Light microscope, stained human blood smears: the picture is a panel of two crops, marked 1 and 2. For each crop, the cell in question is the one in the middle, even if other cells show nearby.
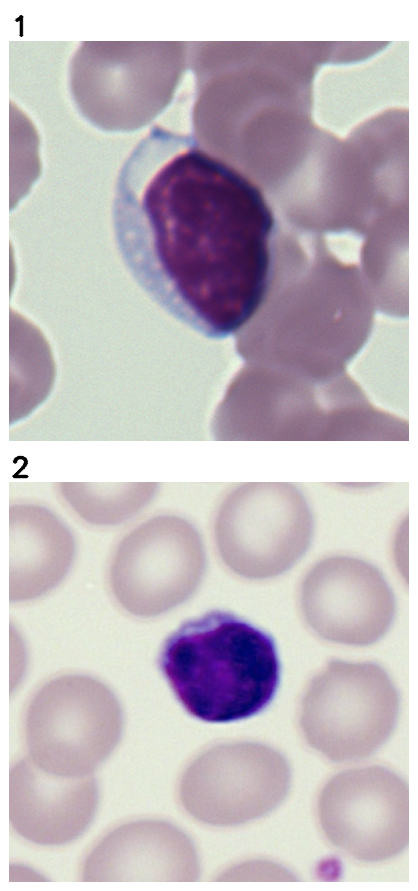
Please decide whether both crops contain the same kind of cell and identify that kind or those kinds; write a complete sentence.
Yes, the centre of both crops is taken up by lymphocytes.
